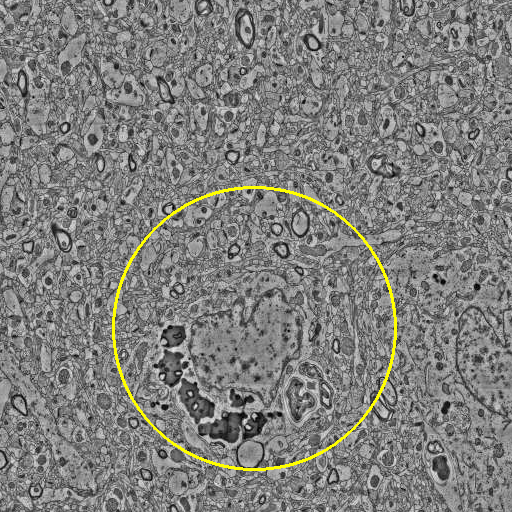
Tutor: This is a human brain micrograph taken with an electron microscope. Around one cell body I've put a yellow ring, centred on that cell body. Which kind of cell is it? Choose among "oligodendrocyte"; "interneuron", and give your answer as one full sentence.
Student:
Going by your list, the cell centred in the yellow ring is an interneuron.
